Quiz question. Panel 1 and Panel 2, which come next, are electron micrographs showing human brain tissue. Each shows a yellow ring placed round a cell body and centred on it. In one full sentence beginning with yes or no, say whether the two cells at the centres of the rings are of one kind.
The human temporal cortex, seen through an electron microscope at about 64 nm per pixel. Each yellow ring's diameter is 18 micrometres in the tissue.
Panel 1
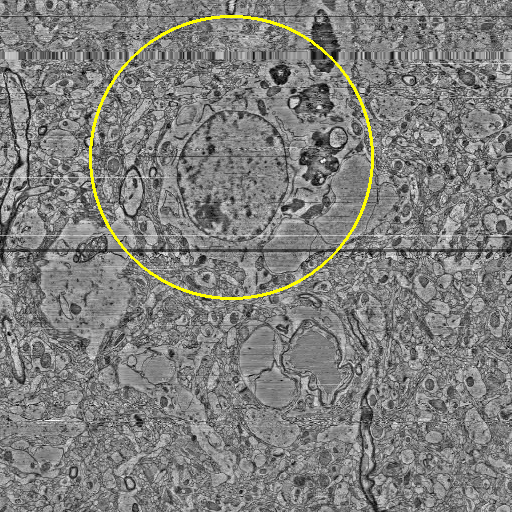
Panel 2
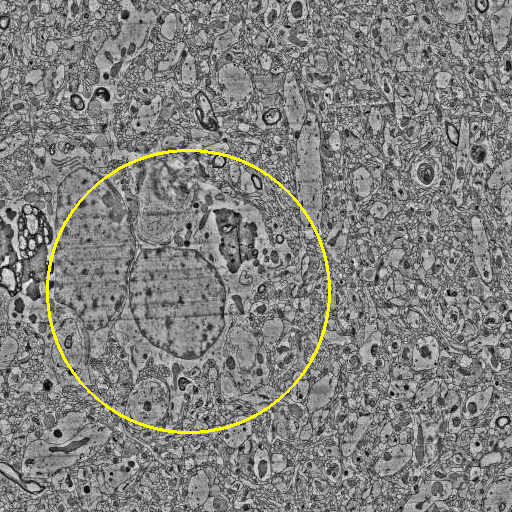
Yes, Panel 1 and Panel 2 show one kind of cell at the centre of the ring.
